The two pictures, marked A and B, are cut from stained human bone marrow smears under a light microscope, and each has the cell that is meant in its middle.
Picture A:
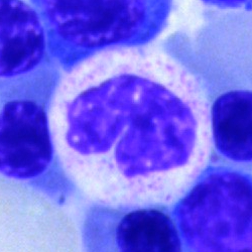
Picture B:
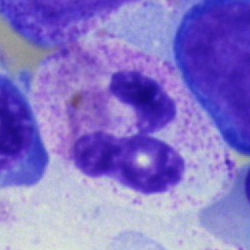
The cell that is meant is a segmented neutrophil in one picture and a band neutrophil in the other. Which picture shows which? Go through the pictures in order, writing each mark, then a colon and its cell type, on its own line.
A: band neutrophil
B: segmented neutrophil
